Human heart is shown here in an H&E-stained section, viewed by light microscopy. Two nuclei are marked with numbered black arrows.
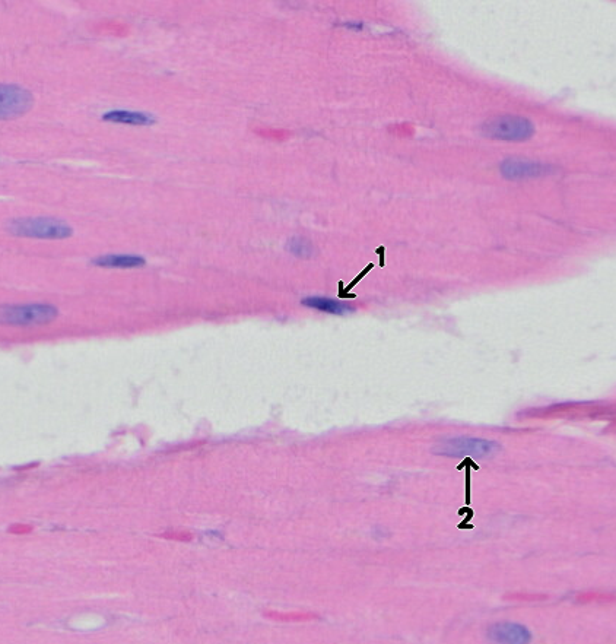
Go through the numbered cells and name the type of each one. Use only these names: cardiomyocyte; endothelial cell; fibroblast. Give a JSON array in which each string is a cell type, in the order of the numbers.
["endothelial cell", "cardiomyocyte"]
